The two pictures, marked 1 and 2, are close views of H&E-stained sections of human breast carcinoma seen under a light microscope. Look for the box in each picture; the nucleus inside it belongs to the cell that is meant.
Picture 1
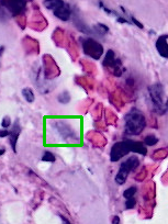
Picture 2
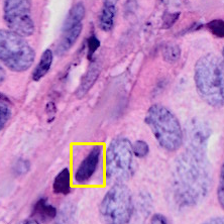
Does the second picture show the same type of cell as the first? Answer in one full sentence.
No, the types are not the same, since picture 1 shows an endothelial cell and picture 2 a carcinoma cell.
